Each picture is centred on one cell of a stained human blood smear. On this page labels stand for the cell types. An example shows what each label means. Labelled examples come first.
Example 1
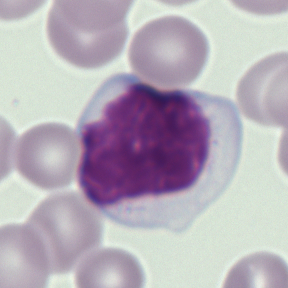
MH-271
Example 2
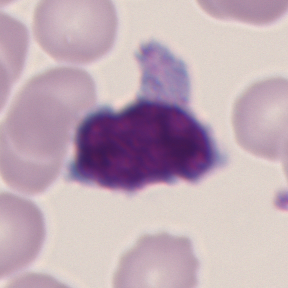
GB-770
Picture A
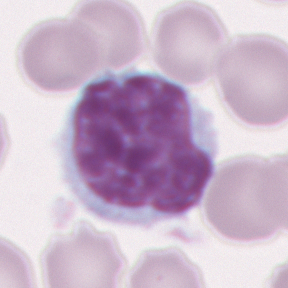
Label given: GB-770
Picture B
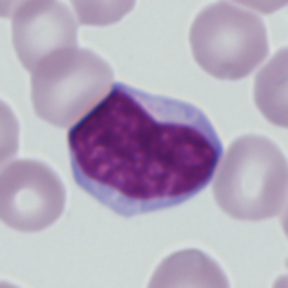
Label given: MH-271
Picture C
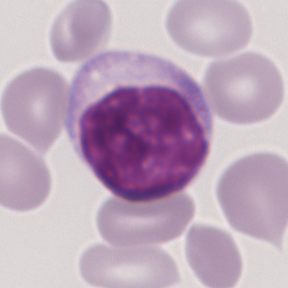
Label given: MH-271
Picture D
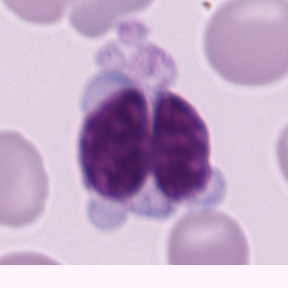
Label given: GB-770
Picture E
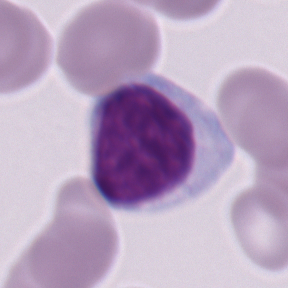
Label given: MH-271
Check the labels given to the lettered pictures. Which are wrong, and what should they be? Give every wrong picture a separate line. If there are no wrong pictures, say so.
Wrong: D (GB-770); correct: MH-271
